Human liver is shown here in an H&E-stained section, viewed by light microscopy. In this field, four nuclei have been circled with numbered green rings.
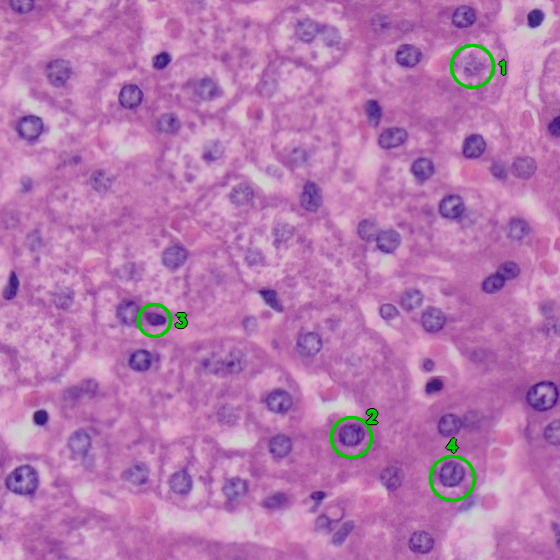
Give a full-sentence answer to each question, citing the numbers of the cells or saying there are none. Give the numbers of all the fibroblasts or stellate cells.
Only the cell carrying number 3 is a fibroblast or stellate cell.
